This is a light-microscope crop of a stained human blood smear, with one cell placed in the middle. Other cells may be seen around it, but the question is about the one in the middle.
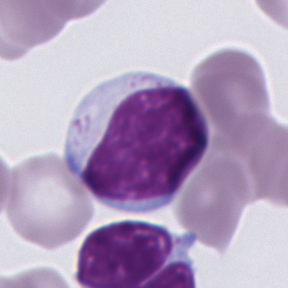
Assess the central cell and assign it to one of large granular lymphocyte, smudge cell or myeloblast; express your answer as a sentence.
Occupying the centre of the crop is a large granular lymphocyte.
